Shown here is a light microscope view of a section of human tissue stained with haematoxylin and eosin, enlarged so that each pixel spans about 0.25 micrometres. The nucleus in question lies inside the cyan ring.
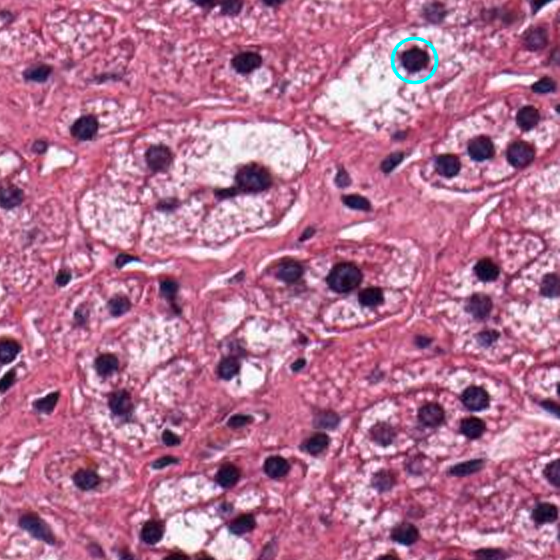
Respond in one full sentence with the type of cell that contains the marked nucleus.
As shown, the marked nucleus belongs to an adrenal cortical cell.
